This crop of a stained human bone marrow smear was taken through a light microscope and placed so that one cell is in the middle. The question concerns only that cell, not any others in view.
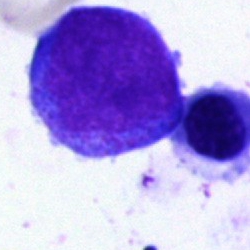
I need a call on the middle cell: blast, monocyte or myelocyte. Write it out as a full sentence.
The cell the crop is centered on is a blast.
